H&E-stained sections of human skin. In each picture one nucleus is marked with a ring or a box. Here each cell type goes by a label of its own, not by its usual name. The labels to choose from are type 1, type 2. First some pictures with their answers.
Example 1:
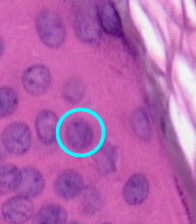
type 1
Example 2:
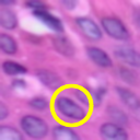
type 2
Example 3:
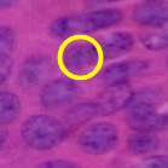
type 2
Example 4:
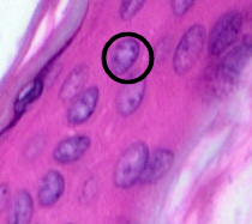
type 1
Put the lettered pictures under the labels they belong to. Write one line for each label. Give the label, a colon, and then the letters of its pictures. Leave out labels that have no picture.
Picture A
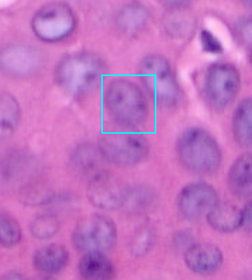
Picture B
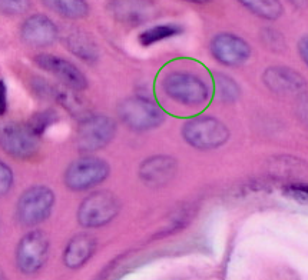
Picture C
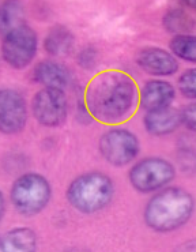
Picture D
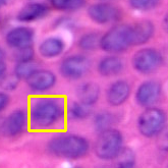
type 1: A, B
type 2: C, D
